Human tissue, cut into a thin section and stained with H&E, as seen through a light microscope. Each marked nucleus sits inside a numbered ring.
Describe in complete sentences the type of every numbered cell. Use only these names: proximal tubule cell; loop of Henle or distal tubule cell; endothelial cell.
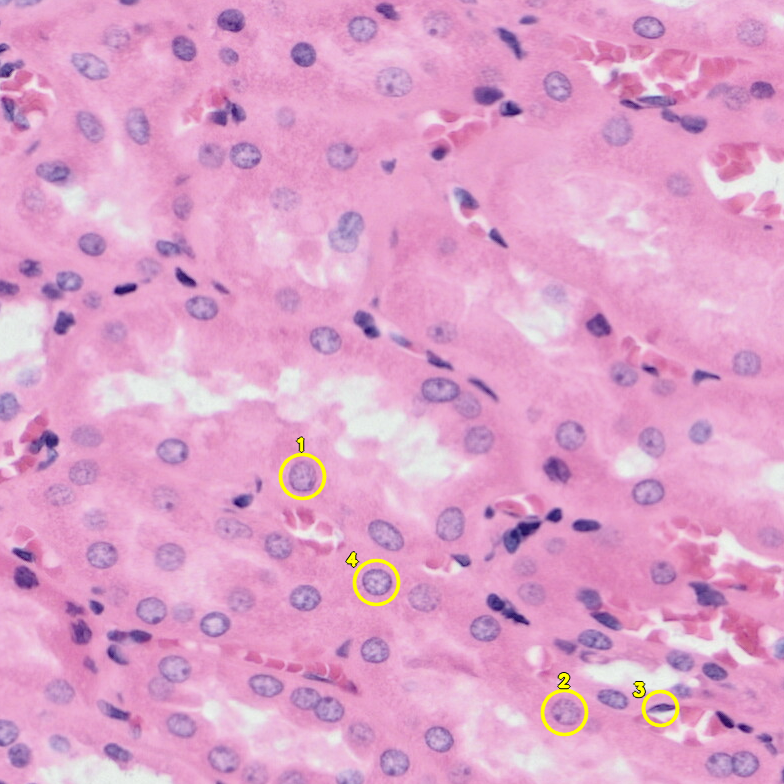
Cells 1, 2 and 4 are proximal tubule cells. Cell 3 is an endothelial cell.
